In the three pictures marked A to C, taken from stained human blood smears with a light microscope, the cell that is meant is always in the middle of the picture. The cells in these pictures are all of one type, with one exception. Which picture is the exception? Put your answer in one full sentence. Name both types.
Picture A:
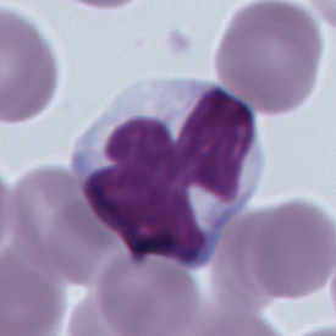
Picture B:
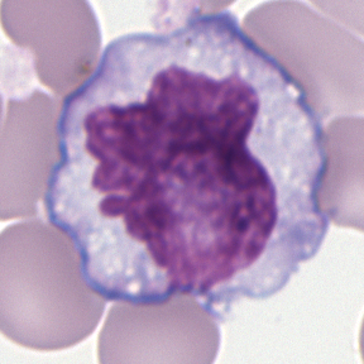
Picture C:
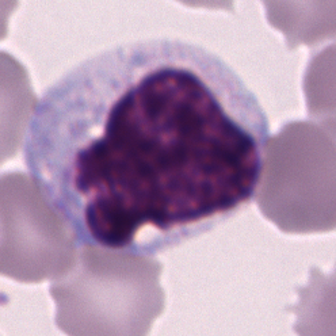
Unlike the rest, which show monocytes, picture A shows a large granular lymphocyte.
